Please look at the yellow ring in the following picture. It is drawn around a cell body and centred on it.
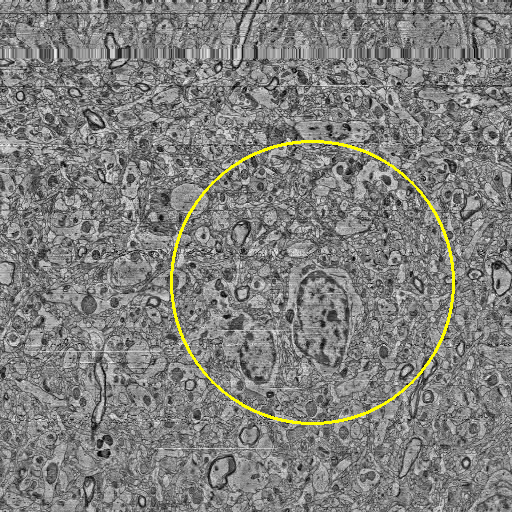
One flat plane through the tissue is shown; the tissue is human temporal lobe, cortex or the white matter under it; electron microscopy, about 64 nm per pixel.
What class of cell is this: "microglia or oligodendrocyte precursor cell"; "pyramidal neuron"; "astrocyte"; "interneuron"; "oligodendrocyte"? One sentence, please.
The ring surrounds the cell body of a microglial cell or oligodendrocyte precursor cell.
